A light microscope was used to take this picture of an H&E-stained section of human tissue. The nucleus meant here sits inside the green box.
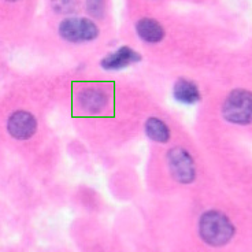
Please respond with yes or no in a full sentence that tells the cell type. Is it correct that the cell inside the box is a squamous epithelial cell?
No, the right answer is that the cell inside the box is a proximal tubule cell, not a squamous epithelial cell.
